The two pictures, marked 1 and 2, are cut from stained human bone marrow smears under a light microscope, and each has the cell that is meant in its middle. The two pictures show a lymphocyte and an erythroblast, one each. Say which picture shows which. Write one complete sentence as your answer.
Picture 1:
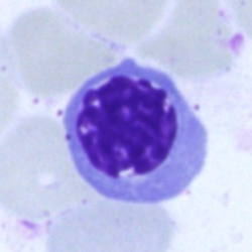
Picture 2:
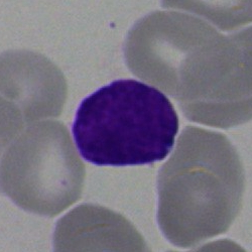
The cell in picture 1 is an erythroblast, and the one in picture 2 is a lymphocyte.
